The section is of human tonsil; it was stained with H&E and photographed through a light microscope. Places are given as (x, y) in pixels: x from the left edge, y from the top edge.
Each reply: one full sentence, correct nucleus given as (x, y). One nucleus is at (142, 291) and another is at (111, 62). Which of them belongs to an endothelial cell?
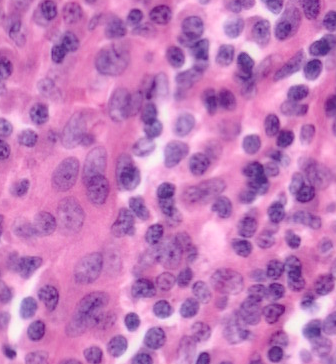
The one nucleus of the two that belongs to an endothelial cell is at (111, 62).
